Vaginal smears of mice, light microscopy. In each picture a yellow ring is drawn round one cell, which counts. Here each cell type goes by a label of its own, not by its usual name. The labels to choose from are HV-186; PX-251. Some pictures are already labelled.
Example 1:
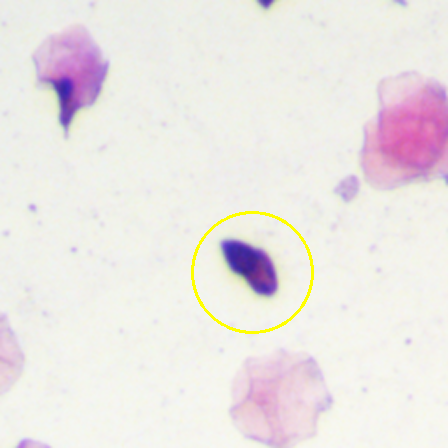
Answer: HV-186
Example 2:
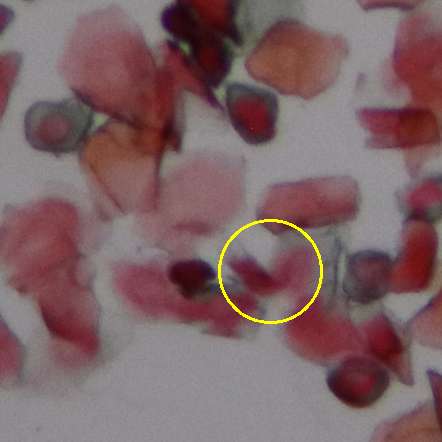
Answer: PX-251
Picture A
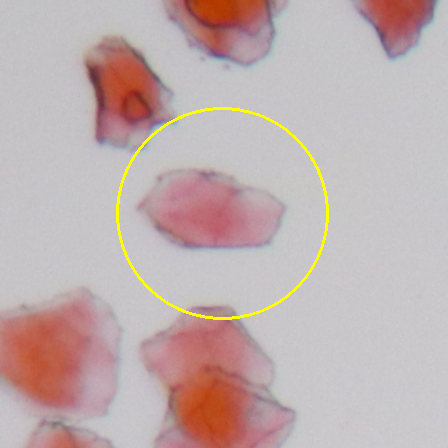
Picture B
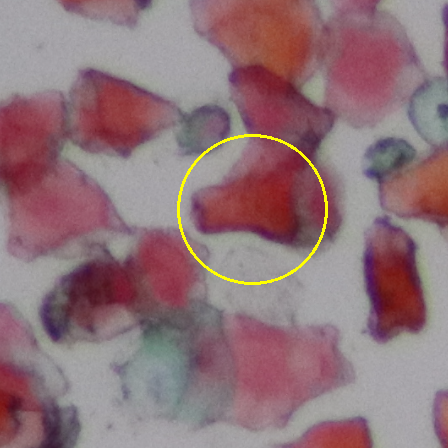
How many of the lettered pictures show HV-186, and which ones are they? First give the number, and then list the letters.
0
